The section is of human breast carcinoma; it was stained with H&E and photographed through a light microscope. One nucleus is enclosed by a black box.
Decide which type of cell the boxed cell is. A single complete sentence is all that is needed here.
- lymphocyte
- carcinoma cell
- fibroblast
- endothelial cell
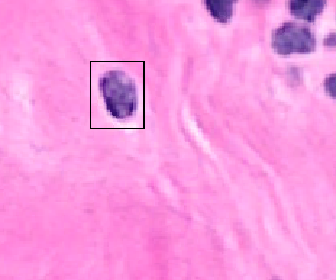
It is as a lymphocyte that the boxed cell is recorded.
